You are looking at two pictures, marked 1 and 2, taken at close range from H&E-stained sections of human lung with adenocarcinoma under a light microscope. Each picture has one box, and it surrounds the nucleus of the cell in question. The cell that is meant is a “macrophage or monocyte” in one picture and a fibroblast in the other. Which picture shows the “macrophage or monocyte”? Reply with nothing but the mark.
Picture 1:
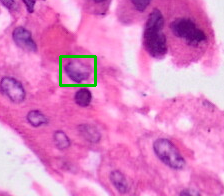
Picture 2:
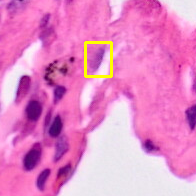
1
